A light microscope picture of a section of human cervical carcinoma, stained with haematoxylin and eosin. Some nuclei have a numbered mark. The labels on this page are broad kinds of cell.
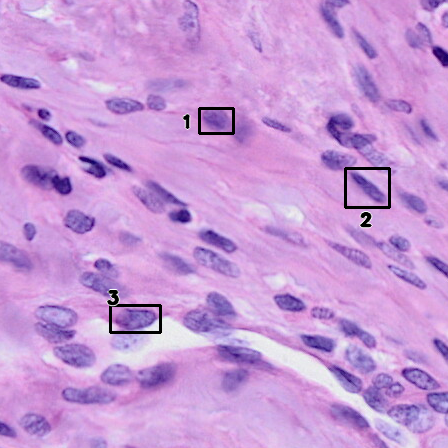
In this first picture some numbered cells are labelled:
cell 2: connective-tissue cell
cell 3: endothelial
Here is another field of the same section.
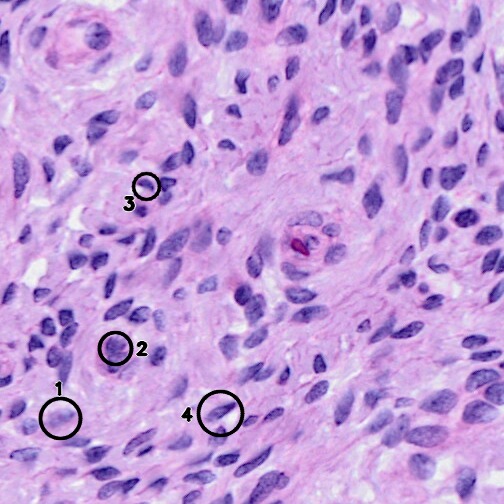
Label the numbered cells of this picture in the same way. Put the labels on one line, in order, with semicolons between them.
connective-tissue cell; endothelial; connective-tissue cell; connective-tissue cell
